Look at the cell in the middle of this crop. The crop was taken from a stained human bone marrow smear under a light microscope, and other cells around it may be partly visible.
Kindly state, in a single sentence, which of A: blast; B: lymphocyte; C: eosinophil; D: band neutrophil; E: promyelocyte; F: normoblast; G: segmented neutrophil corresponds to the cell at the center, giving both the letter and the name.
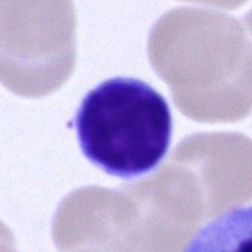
What option B states is correct, the central cell being a lymphocyte.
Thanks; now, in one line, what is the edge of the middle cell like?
No projections interrupt the outline; it is smooth all the way round.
